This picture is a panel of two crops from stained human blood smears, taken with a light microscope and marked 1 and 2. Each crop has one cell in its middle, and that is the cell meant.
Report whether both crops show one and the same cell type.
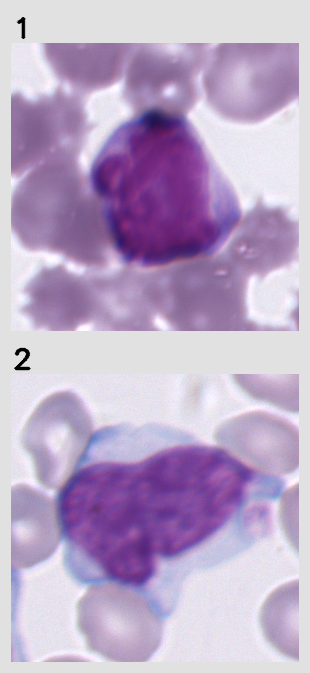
yes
